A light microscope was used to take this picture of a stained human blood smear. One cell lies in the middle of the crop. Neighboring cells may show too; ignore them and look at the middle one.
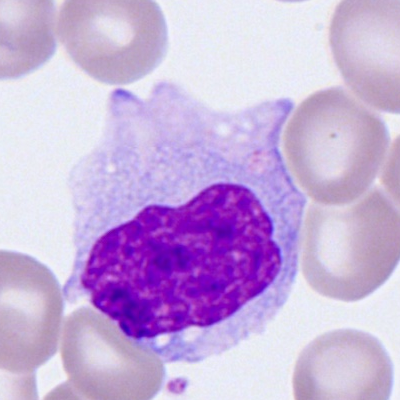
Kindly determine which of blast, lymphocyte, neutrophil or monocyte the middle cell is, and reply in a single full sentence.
For this crop, the central cell is a monocyte.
